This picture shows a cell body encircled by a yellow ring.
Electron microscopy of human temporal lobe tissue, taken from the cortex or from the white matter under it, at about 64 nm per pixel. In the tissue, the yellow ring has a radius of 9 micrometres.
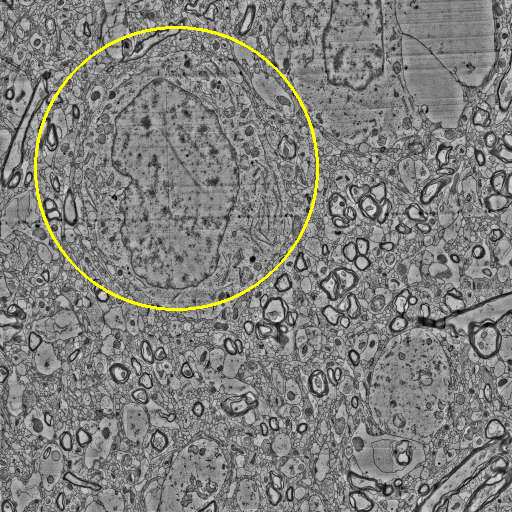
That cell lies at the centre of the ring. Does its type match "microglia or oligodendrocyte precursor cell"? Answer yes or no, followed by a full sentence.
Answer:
No, in the picture, the ring surrounds a cell of another type at its centre.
